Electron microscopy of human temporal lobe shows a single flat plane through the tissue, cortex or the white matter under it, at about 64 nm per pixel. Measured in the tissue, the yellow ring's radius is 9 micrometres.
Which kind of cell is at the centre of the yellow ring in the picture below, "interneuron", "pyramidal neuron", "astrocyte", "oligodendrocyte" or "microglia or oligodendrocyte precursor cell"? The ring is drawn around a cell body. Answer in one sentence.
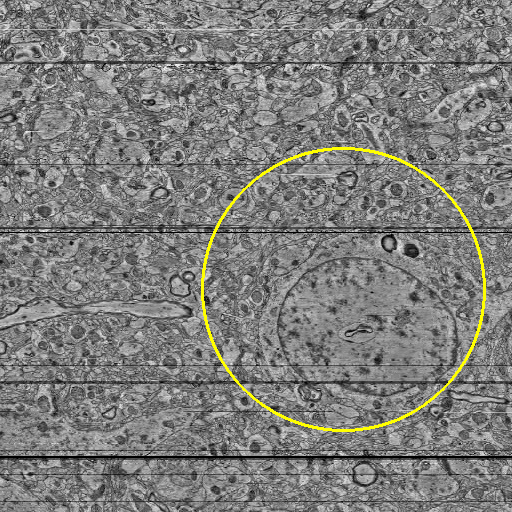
The ring's central cell is a pyramidal neuron.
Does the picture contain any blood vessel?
No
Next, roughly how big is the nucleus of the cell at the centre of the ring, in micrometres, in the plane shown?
The nucleus works out at approximately 12 by 10 micrometres in this plane.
